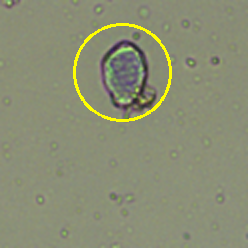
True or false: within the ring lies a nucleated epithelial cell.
True: a nucleated epithelial cell lies within the ring.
